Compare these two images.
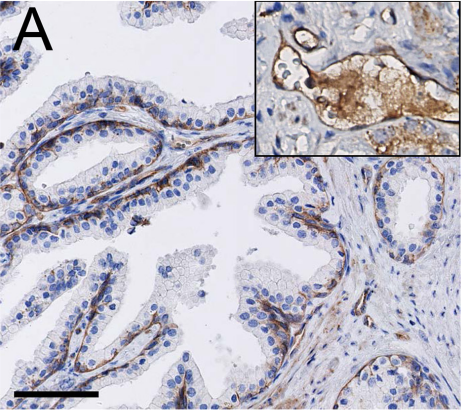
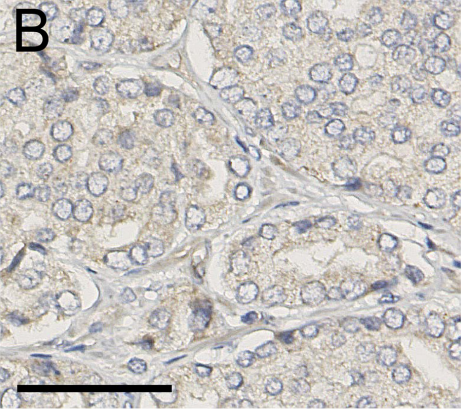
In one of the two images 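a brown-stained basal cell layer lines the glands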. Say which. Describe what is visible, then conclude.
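The first image. Second image: the tumour glands show only faint diffuse beige cytoplasm and no brown rim. First image: a thin brown layer outlines the base of each gland.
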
